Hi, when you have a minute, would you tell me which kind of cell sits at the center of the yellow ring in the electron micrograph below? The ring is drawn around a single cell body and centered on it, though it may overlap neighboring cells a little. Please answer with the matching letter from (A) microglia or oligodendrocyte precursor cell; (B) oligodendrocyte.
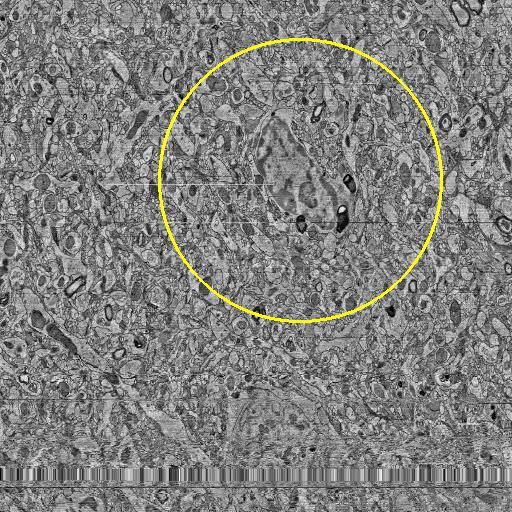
A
